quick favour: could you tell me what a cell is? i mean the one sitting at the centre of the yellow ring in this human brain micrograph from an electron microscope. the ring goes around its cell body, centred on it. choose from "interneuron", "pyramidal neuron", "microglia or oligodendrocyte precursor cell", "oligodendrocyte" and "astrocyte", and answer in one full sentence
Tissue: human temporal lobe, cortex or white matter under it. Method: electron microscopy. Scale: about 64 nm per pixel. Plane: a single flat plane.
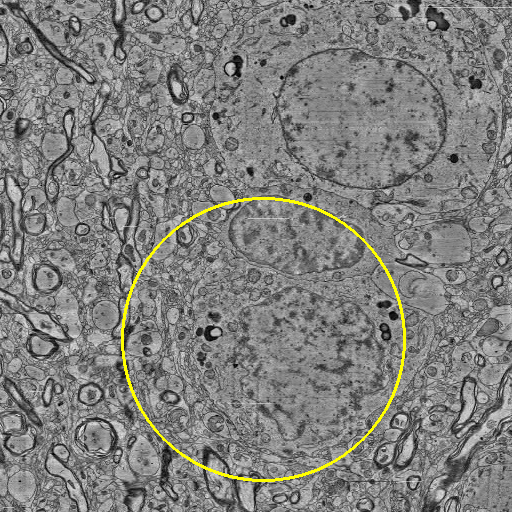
That's an interneuron, the cell sitting at the centre of the yellow ring.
